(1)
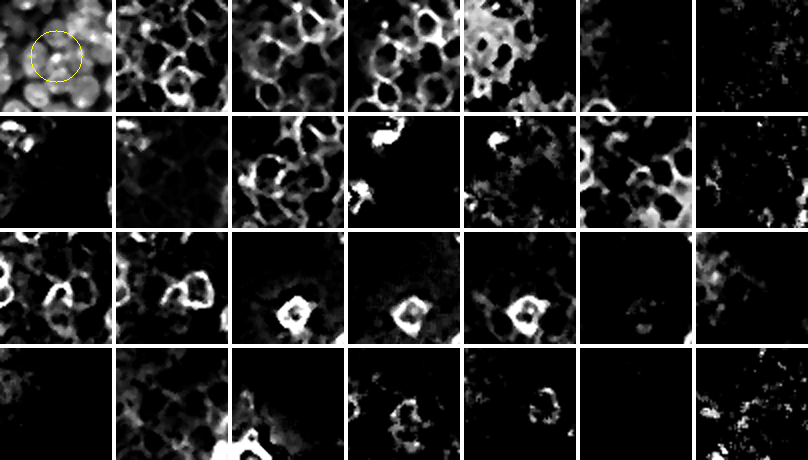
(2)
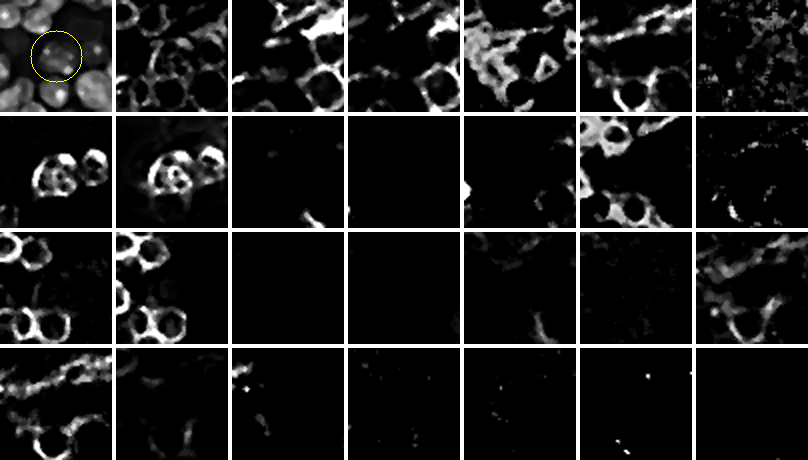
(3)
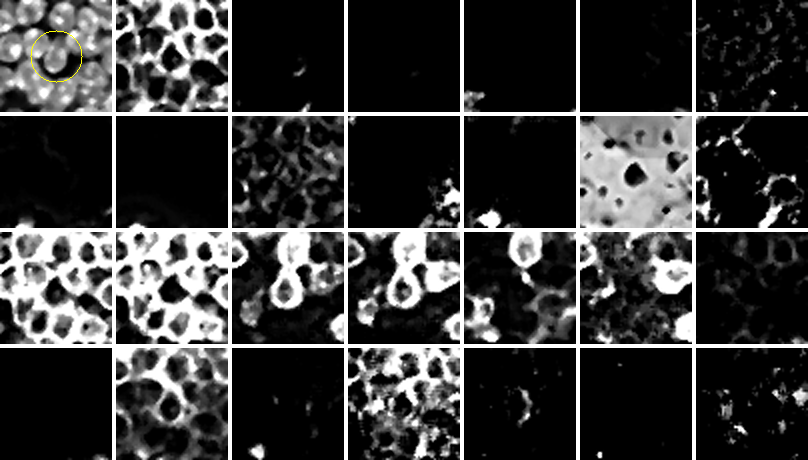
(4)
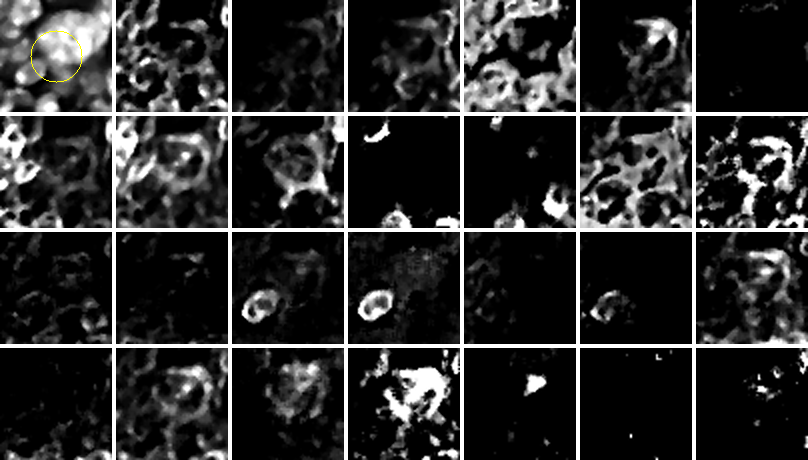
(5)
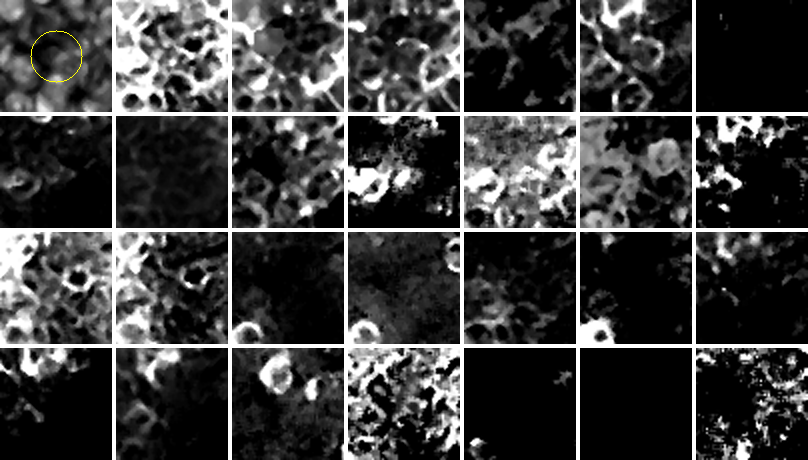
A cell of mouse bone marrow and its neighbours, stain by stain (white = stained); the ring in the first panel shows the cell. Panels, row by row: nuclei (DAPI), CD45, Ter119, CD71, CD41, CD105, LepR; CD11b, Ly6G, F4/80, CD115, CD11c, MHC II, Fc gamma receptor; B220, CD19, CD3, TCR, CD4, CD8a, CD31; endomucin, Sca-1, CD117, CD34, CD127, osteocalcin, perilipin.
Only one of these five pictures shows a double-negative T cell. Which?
Picture 3.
